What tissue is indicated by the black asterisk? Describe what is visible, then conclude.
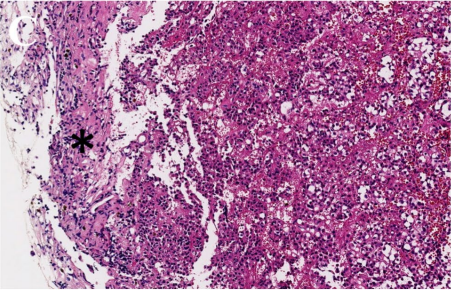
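A thin connective tissue. A narrow strip of pink fibrous tissue with spindle-shaped nuclei runs along the left edge. Densely cellular tissue fills the rest of the panel.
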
